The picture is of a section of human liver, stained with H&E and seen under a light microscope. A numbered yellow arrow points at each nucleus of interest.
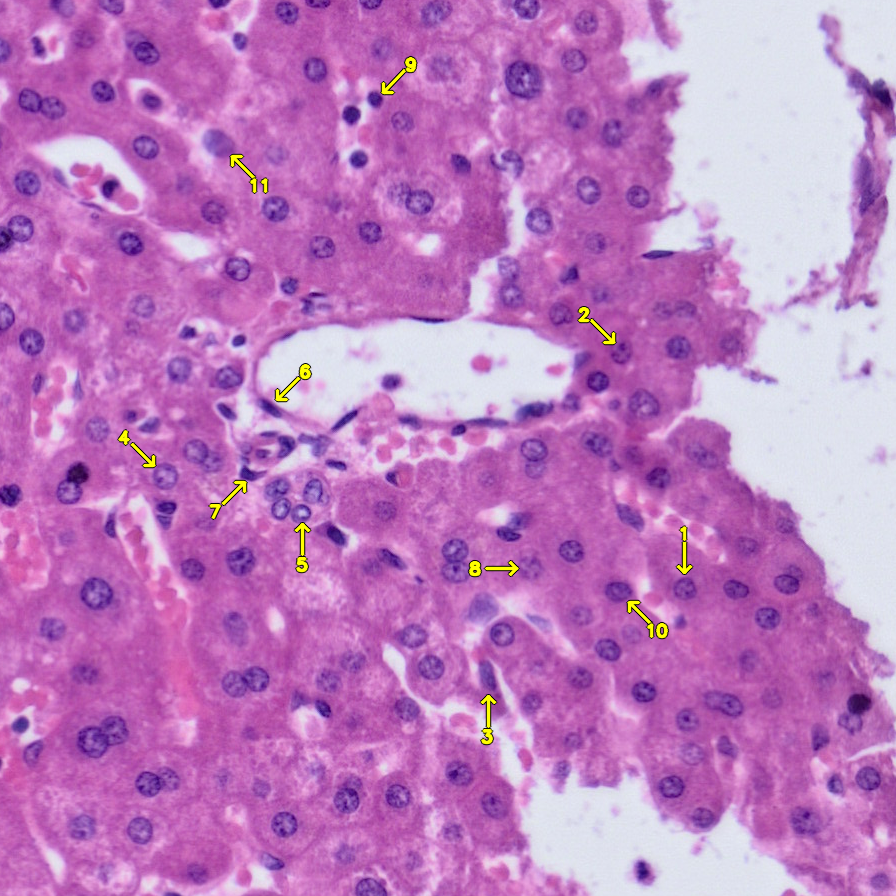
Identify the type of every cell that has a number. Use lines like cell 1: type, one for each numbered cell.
cell 1: hepatocyte
cell 2: hepatocyte
cell 3: Kupffer cell
cell 4: hepatocyte
cell 5: cholangiocyte
cell 6: fibroblast or stellate cell
cell 7: fibroblast or stellate cell
cell 8: hepatocyte
cell 9: lymphocyte
cell 10: hepatocyte
cell 11: endothelial cell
